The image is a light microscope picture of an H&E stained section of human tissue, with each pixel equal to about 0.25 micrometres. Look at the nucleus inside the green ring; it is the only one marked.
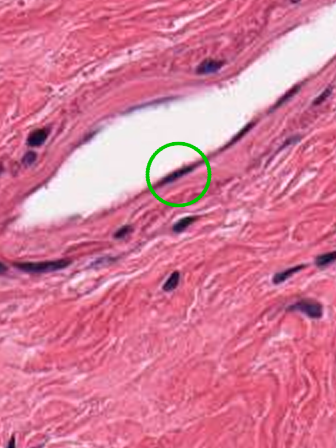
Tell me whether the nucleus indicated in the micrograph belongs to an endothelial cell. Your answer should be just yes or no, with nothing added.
yes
